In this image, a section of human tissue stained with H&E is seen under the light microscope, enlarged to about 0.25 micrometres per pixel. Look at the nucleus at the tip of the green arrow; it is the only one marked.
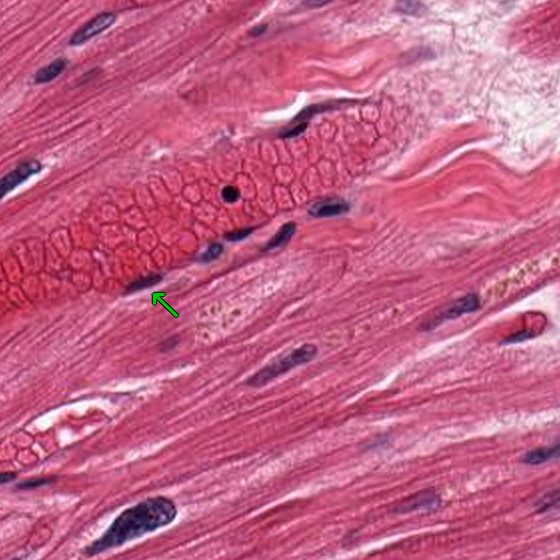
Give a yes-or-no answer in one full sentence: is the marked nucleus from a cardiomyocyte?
No, belonging to a supporting cell, the marked nucleus is not part of a cardiomyocyte.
